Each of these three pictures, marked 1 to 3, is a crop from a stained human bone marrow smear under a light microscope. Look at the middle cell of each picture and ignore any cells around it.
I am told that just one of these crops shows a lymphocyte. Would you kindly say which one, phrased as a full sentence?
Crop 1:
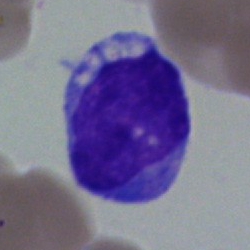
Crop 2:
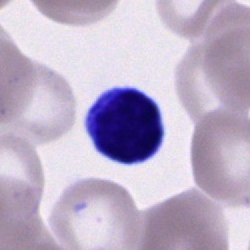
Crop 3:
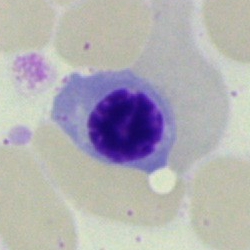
Crop 2 is the correct crop, and it shows a lymphocyte.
